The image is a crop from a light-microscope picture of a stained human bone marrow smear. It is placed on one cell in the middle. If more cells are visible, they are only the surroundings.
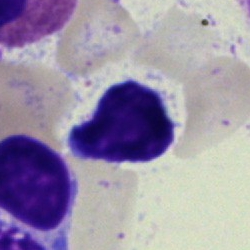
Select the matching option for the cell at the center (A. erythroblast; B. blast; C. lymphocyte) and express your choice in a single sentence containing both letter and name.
The cell in the middle is a lymphocyte, so option C is correct.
